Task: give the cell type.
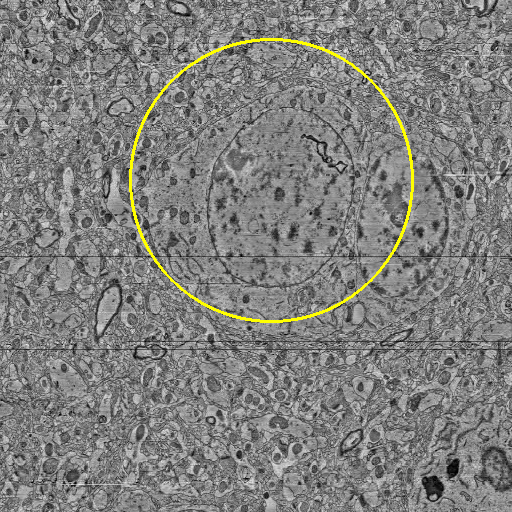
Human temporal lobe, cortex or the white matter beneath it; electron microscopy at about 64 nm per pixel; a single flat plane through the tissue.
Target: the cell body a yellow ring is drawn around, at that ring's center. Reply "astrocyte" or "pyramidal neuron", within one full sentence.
In this picture, the cell whose body lies at the ring's center is a pyramidal neuron.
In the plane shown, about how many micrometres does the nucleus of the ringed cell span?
The nucleus of the ringed cell is approximately 12 by 9 micrometres in this plane.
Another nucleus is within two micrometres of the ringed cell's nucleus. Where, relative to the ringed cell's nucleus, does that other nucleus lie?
The second nucleus is to the right of it.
